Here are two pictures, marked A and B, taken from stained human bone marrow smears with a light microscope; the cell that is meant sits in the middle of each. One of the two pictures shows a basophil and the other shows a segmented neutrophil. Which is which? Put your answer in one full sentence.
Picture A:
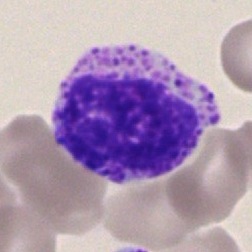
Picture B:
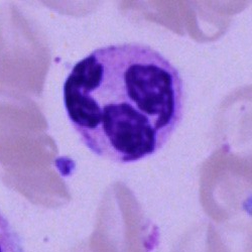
Picture A is of a basophil, and picture B is of a segmented neutrophil.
